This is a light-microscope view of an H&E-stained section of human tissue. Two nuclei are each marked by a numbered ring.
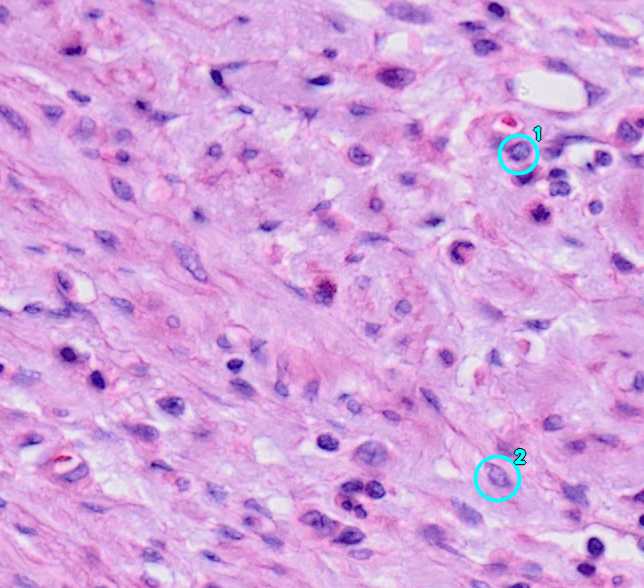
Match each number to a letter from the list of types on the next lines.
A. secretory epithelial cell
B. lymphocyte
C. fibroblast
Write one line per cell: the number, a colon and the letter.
1: B
2: C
